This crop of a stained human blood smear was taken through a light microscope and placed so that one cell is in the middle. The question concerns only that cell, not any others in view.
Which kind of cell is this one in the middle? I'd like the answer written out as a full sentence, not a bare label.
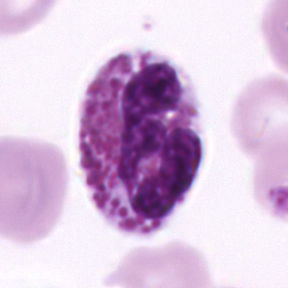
The identification for the central cell is an eosinophil.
